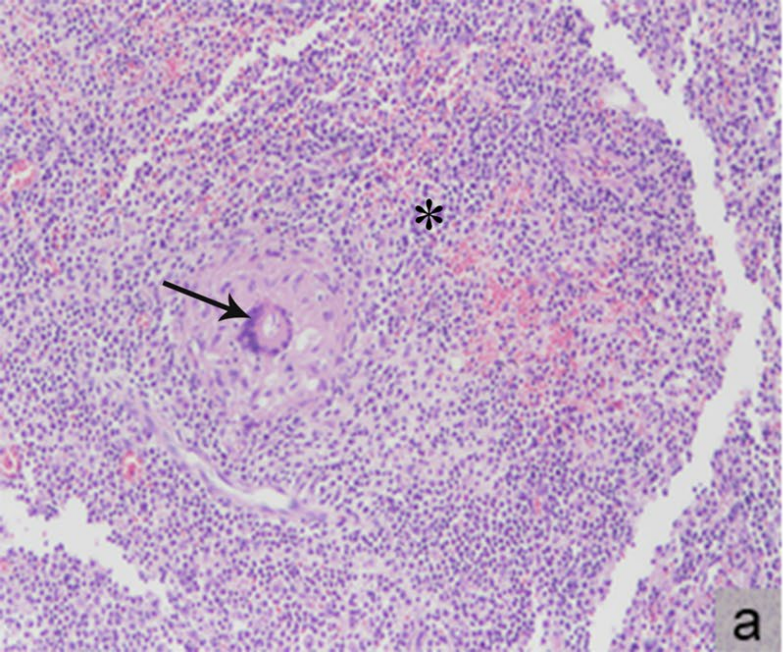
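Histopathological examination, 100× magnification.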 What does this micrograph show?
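Inflamed tissue containing a granuloma within a dense inflammatory cell infiltrate. Most of the field is sheets of small cells with dark round nuclei, densely packed, with areas of scattered red blood cells. Left of centre lies a rounded pale pink nodule made of elongated cells in a whorled pattern, with a small ring-shaped, darkly stained giant cell at its centre. Thin strands of pale fibrous tissue run through the infiltrate, and clefts cross the section.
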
